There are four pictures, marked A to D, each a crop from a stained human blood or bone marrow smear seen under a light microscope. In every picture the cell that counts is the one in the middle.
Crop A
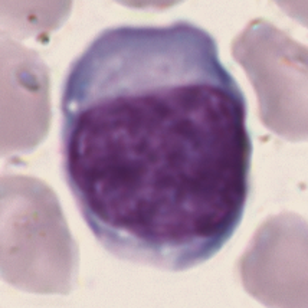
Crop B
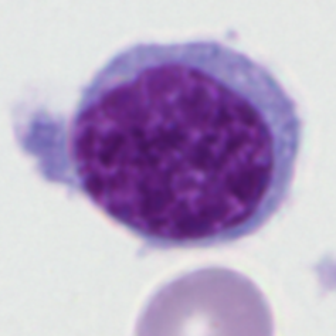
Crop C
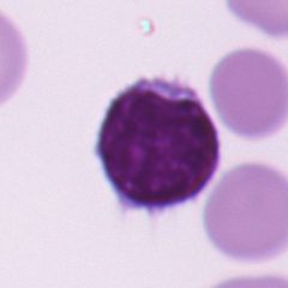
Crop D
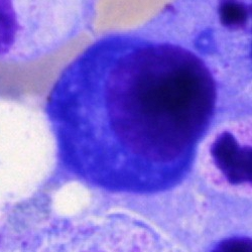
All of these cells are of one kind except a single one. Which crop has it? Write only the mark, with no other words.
C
